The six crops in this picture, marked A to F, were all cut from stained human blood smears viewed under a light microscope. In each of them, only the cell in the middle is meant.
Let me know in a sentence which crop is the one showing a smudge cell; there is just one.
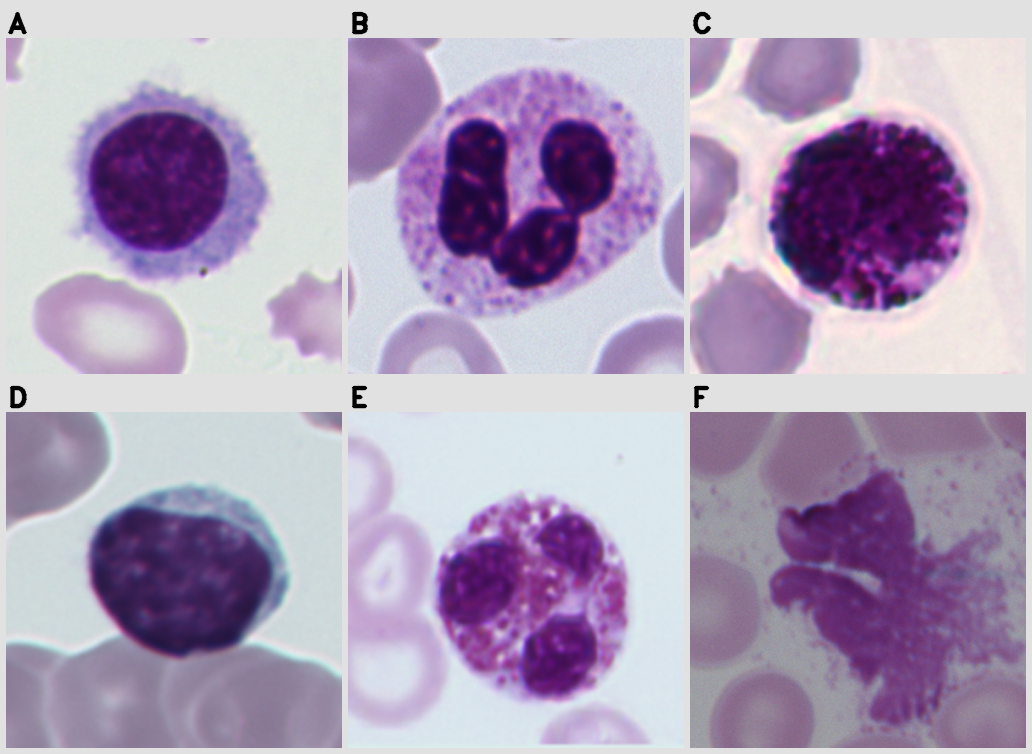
Of the crops given, a smudge cell is found in crop F.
